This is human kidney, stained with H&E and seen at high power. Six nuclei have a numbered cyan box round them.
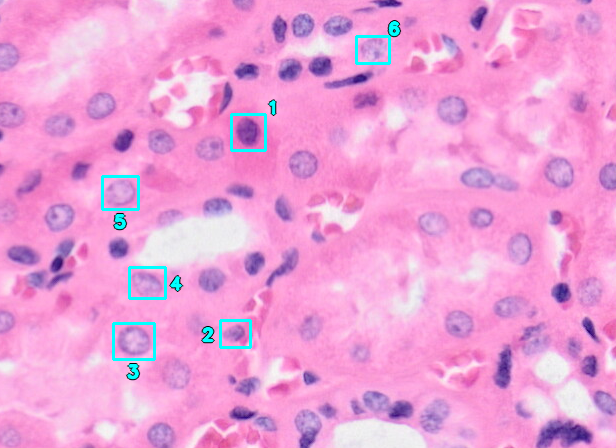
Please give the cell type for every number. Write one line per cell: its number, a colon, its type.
1: proximal tubule cell
2: endothelial cell
3: proximal tubule cell
4: loop of Henle or distal tubule cell
5: proximal tubule cell
6: loop of Henle or distal tubule cell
